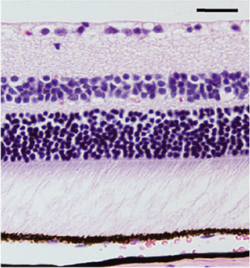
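This is a retina in cross-section with well-ordered layers. A sparse row of ganglion cell nuclei lies at the top, then a purple band of nuclei in the inner nuclear layer, and below it the thicker, densely packed outer nuclear layer. Pale, striated inner and outer segments of the photoreceptors rest on a thin, continuous, dark brown band of retinal pigment epithelium.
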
